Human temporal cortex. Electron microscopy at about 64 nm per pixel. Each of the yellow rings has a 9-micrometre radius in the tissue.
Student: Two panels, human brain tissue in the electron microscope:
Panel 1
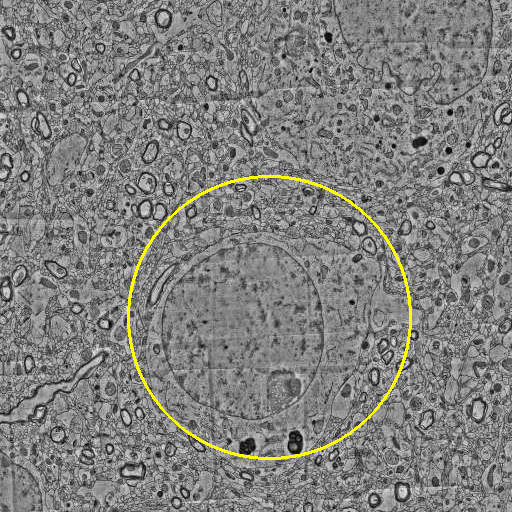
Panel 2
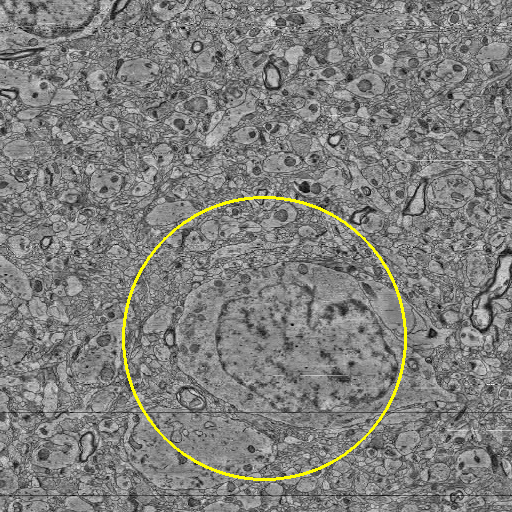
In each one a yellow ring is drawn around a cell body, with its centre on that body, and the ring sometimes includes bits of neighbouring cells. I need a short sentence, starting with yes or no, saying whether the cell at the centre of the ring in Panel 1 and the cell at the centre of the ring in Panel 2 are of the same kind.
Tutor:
No, they are two kinds of cell.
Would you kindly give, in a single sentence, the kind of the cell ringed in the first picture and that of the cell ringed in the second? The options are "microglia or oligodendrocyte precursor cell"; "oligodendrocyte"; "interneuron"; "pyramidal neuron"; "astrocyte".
The second cell is an interneuron, and the first cell is a pyramidal neuron.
